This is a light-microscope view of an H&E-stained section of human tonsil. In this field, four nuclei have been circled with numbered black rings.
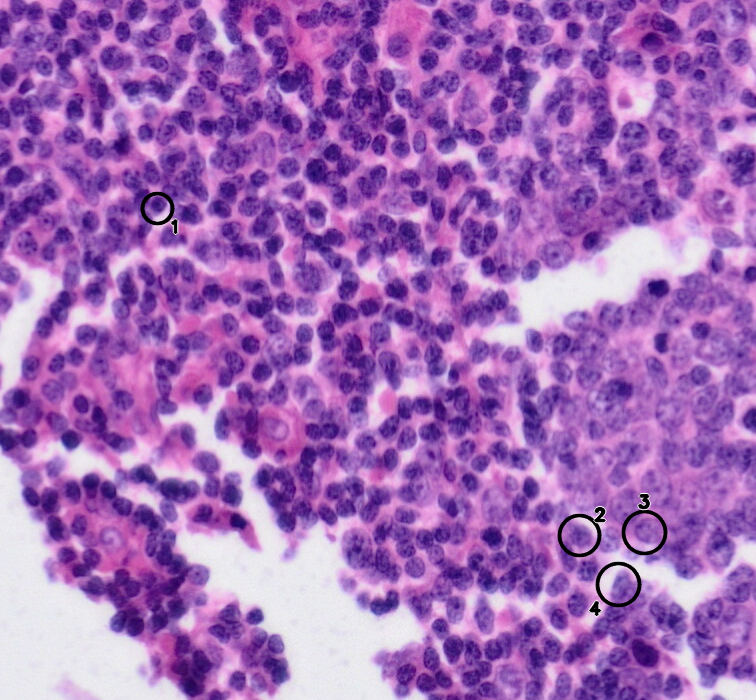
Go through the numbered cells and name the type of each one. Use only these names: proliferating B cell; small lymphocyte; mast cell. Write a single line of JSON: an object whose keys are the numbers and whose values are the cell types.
{"1": "small lymphocyte", "2": "proliferating B cell", "3": "proliferating B cell", "4": "proliferating B cell"}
